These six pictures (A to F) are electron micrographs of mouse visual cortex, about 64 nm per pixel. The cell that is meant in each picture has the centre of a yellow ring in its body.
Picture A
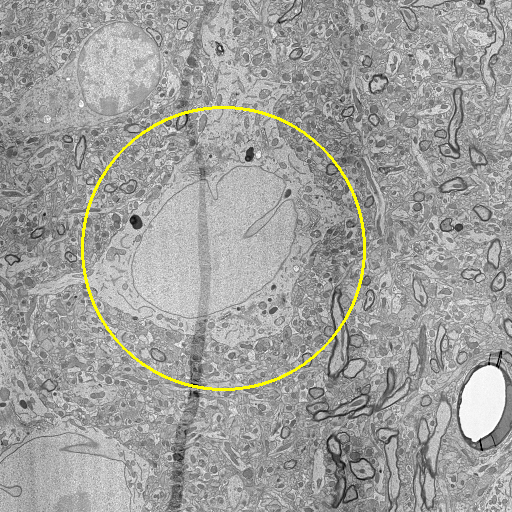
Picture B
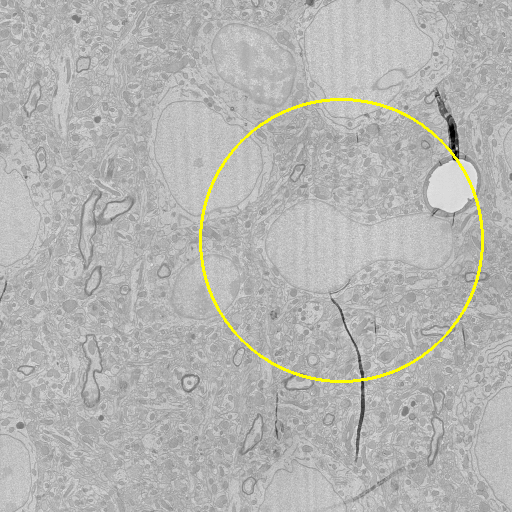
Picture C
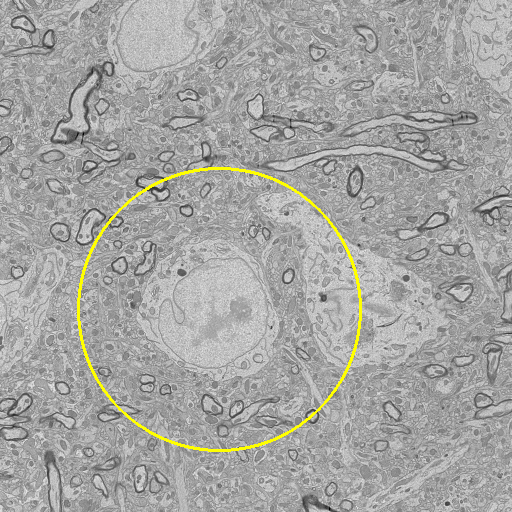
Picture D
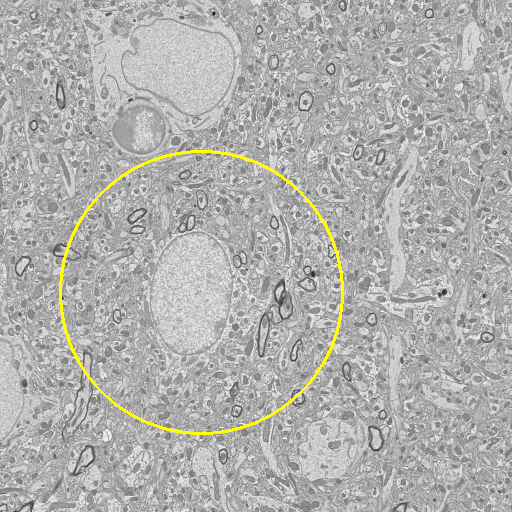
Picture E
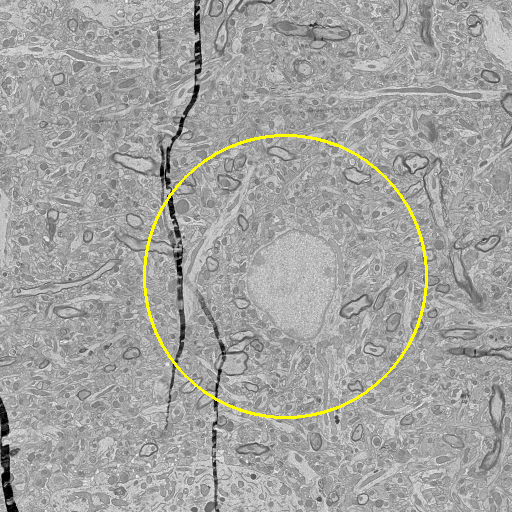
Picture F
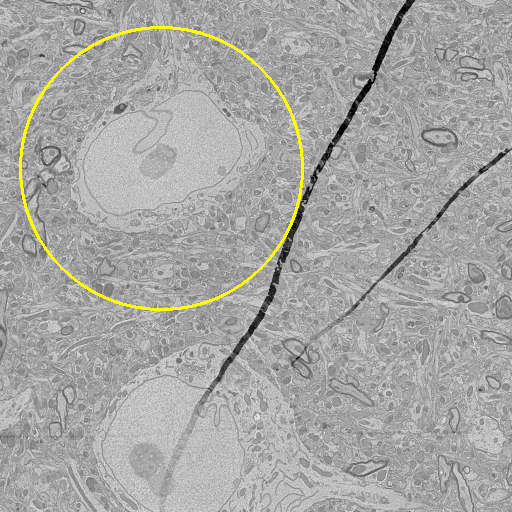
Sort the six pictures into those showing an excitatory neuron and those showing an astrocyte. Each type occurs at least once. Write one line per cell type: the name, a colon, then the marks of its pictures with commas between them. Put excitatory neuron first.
excitatory neuron: A, C, F
astrocyte: B, D, E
